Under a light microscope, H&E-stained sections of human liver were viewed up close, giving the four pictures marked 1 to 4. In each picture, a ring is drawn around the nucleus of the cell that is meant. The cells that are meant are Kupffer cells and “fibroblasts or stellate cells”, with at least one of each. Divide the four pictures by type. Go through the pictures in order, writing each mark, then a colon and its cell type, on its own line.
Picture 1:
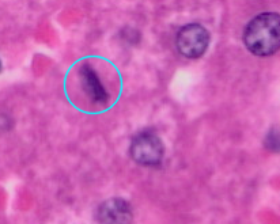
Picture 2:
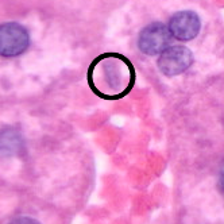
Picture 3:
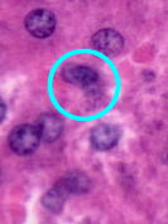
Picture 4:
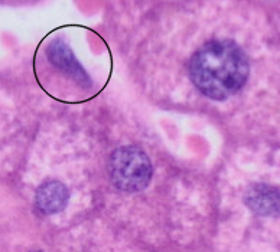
1: fibroblast or stellate cell
2: Kupffer cell
3: Kupffer cell
4: Kupffer cell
